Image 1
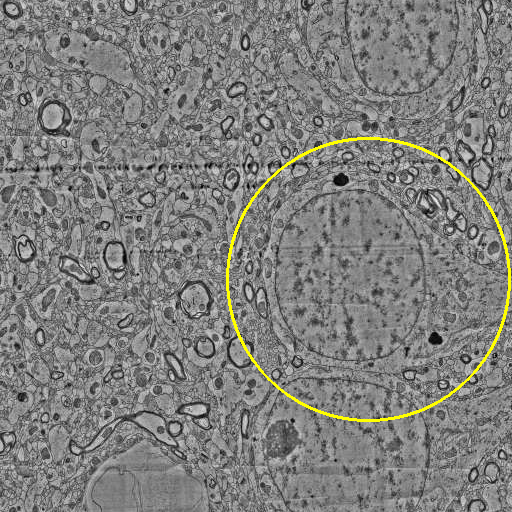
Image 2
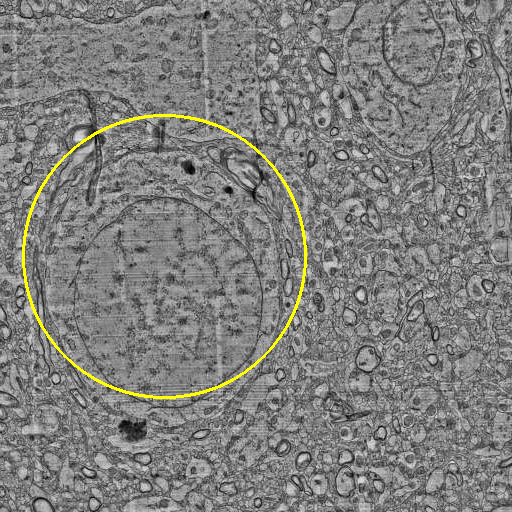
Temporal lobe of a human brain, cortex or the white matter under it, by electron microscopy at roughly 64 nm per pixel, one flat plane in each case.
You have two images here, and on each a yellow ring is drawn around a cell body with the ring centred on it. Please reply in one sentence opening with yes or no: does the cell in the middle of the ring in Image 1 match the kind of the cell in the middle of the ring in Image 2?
Yes, the two images show cells of one kind at the centres of their rings.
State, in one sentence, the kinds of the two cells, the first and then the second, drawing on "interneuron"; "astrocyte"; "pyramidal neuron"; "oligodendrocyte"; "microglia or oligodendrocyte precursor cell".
Both pictures show a pyramidal neuron at the centre of the ring.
